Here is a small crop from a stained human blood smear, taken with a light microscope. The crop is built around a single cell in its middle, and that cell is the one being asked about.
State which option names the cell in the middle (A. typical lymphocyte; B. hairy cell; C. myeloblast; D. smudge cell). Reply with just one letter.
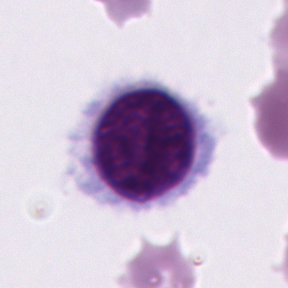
B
